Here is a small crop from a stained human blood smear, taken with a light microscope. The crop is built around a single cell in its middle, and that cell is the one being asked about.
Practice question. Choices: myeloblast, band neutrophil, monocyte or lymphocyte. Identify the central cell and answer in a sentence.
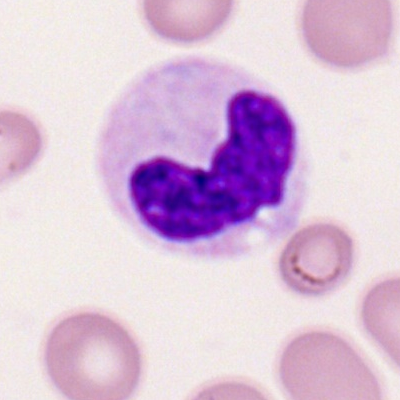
This particular crop is centered on a band neutrophil.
